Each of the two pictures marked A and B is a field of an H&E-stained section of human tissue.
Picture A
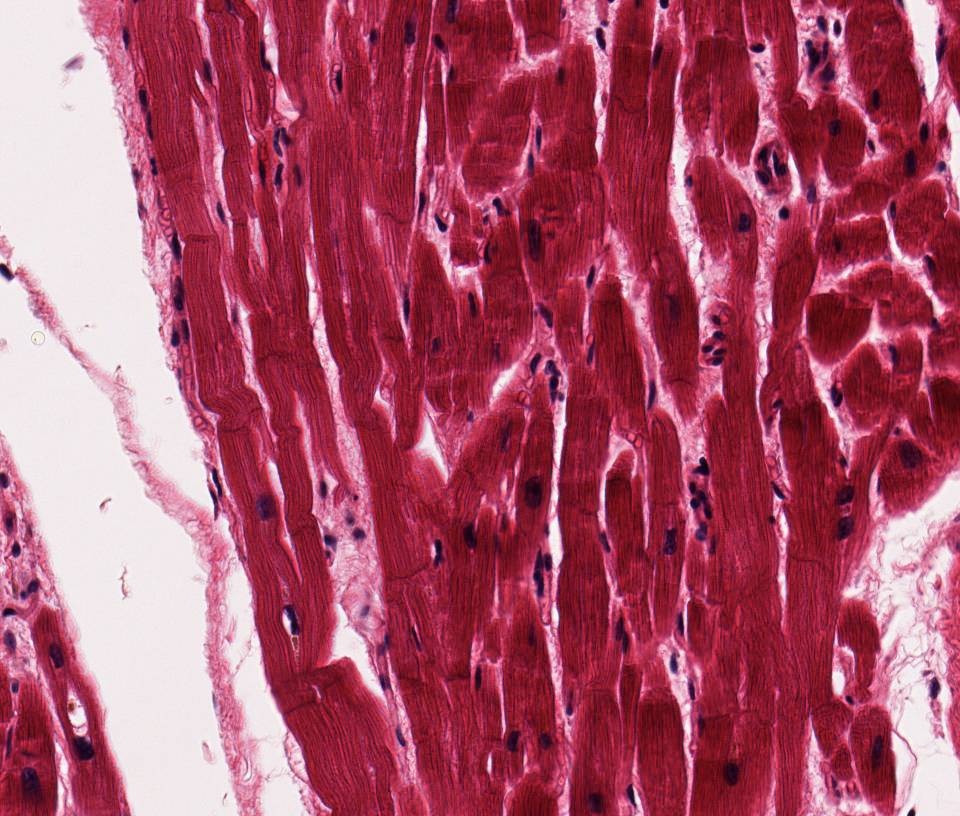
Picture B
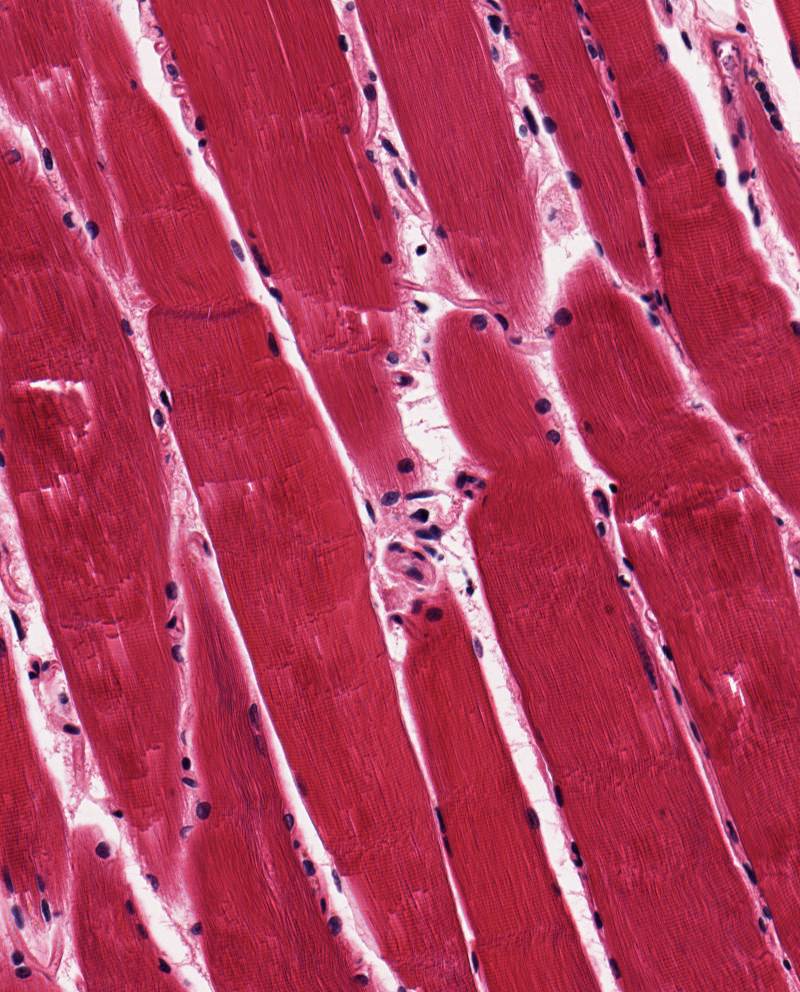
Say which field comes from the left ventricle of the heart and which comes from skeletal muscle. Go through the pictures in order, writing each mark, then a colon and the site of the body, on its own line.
A: left ventricle of the heart
B: skeletal muscle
